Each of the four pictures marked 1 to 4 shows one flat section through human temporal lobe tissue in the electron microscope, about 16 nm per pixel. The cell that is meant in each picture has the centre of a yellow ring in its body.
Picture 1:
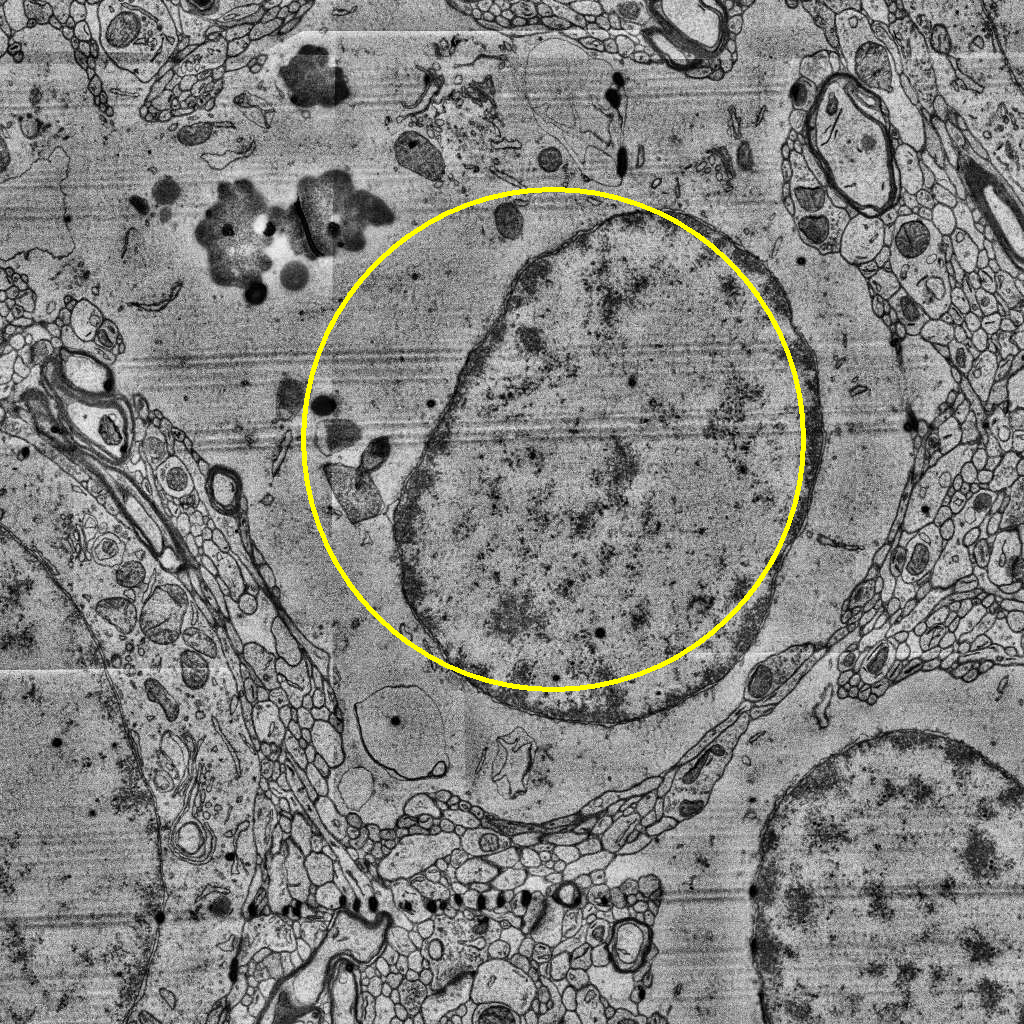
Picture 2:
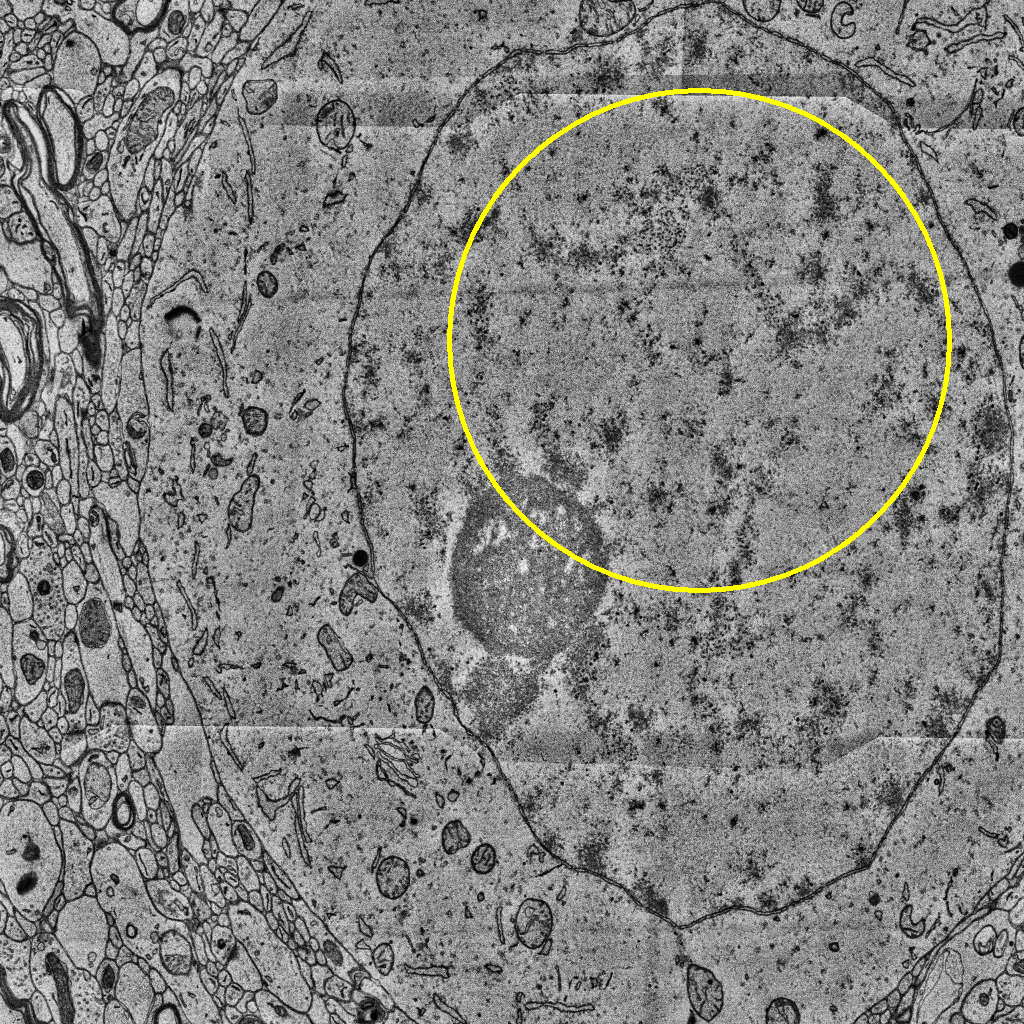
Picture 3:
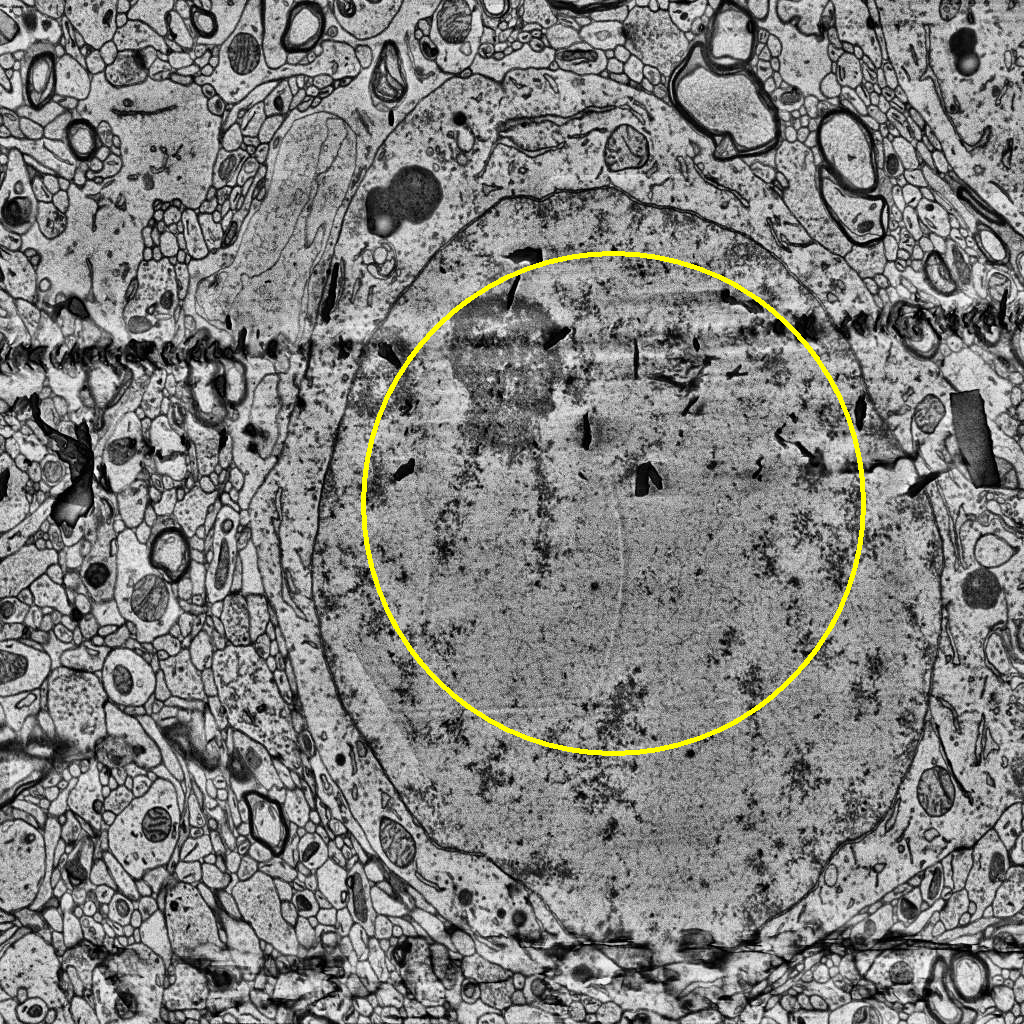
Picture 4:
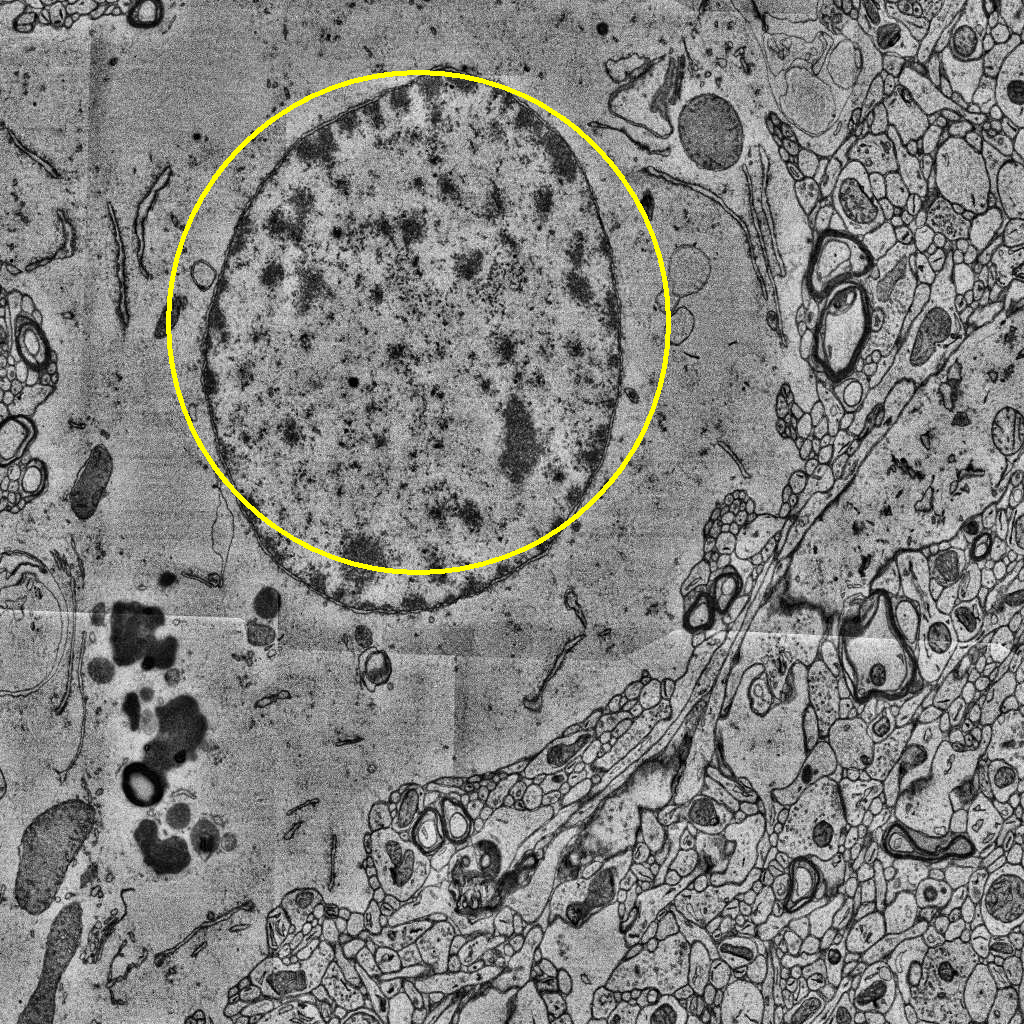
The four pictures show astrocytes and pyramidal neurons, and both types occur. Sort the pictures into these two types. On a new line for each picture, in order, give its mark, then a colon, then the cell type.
1: astrocyte
2: pyramidal neuron
3: pyramidal neuron
4: astrocyte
